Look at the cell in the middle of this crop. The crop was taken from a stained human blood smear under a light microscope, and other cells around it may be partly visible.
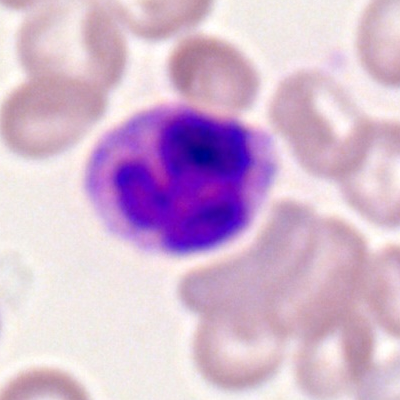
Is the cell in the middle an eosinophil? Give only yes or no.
no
